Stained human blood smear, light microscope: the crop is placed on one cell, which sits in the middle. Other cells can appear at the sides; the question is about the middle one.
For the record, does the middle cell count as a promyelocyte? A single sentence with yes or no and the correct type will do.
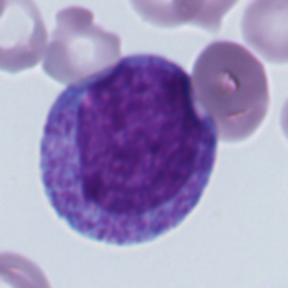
Yes, the cell found at the centre of the crop is a promyelocyte.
